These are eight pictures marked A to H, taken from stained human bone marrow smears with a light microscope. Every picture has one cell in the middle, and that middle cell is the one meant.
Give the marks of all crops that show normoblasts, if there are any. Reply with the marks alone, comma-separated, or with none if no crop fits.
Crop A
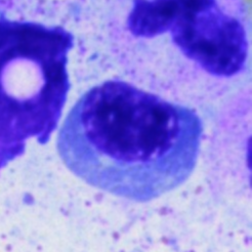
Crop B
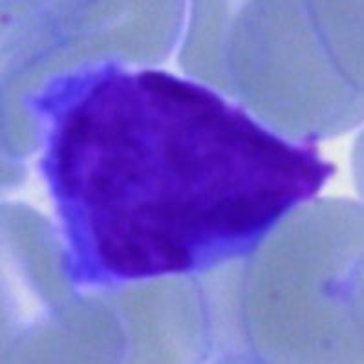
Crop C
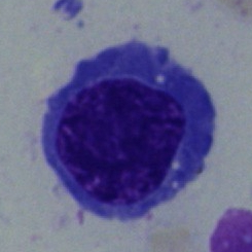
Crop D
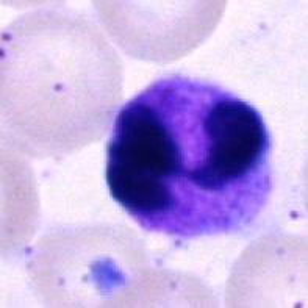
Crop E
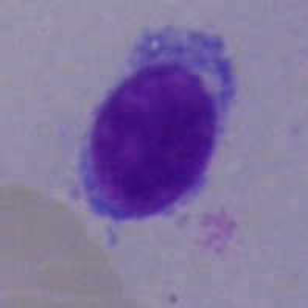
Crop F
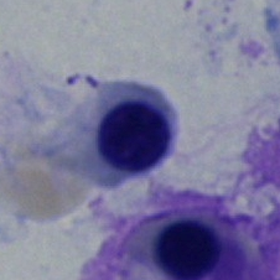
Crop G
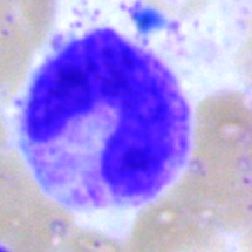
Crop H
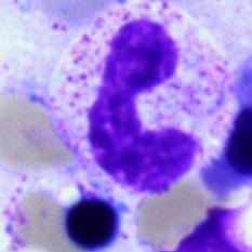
A, C, F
